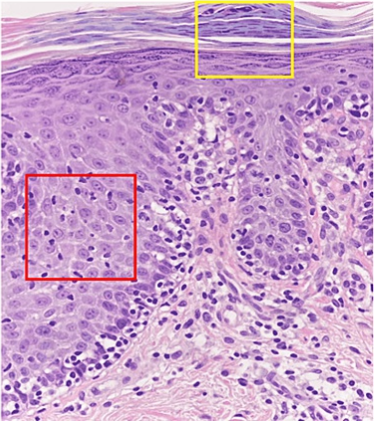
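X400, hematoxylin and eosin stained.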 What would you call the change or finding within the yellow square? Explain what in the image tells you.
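The box lies in the cornified layer at the top of the epidermis. Flattened dark nuclei are retained within the cornified layer inside the box.
Answer: parakeratosis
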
